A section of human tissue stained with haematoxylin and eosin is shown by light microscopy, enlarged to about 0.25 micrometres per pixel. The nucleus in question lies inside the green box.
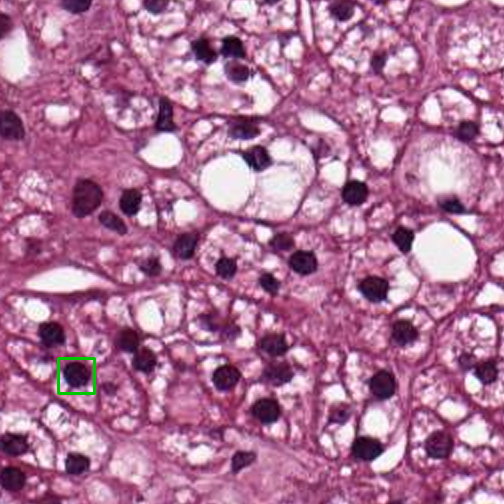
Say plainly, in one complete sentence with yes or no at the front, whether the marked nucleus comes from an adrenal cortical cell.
Yes, the marked nucleus is to be read as that of an adrenal cortical cell.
